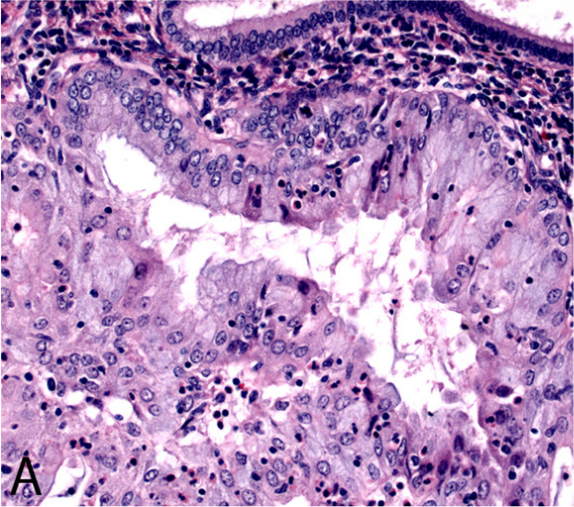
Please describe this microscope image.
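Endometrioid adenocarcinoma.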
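Tall columnar tumour cells form irregular glands around a lumen containing pale wispy material. The cells have abundant pale pink, finely vacuolated cytoplasm and enlarged round to oval vesicular nuclei with visible nucleoli. The surrounding stroma is crowded with small dark inflammatory cells, and a strip of surface columnar epithelium runs along the top. The pale mucin-rich cytoplasm fits endocervical-type mucinous differentiation.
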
